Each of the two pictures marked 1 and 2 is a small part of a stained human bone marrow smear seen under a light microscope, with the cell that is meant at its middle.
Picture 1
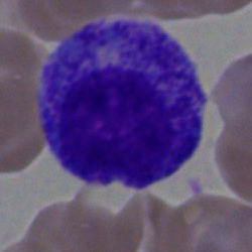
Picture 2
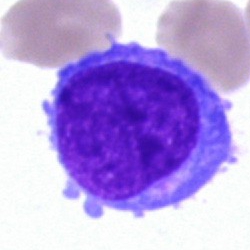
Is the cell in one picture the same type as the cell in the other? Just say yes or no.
no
